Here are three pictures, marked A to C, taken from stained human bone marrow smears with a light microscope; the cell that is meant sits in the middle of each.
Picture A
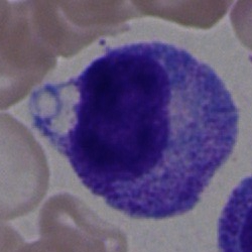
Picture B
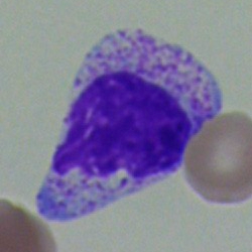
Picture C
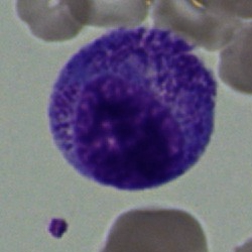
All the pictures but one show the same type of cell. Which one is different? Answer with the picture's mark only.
B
